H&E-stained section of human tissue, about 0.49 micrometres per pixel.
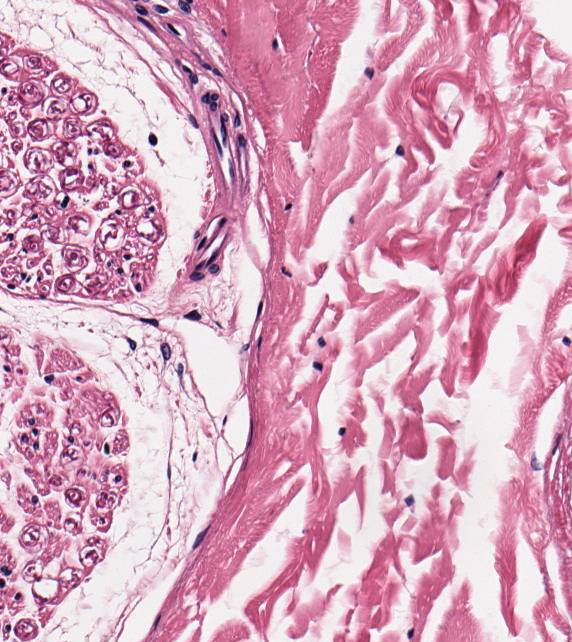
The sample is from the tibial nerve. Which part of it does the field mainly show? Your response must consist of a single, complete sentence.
The structure this section shows is epineurium.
